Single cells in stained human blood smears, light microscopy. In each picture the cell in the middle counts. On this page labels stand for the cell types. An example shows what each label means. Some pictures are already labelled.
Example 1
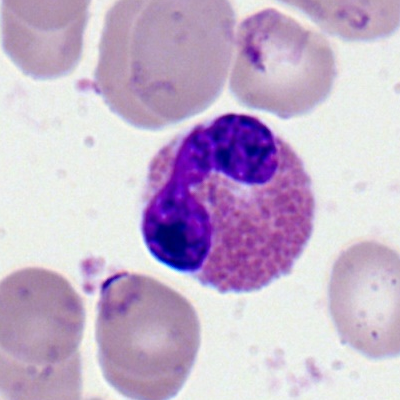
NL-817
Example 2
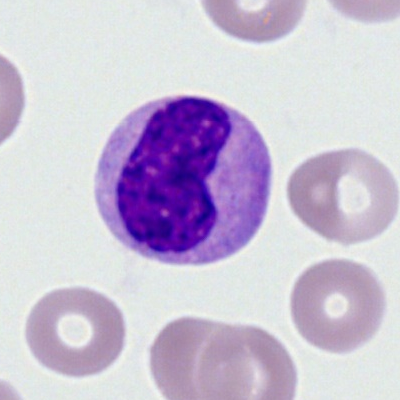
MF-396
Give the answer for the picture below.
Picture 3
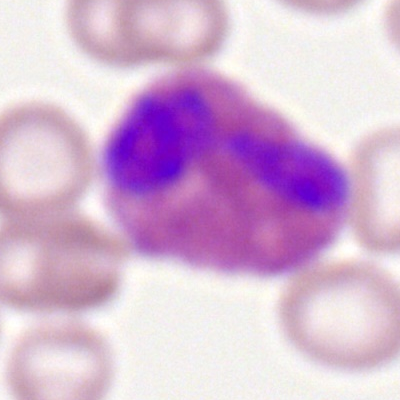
NL-817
